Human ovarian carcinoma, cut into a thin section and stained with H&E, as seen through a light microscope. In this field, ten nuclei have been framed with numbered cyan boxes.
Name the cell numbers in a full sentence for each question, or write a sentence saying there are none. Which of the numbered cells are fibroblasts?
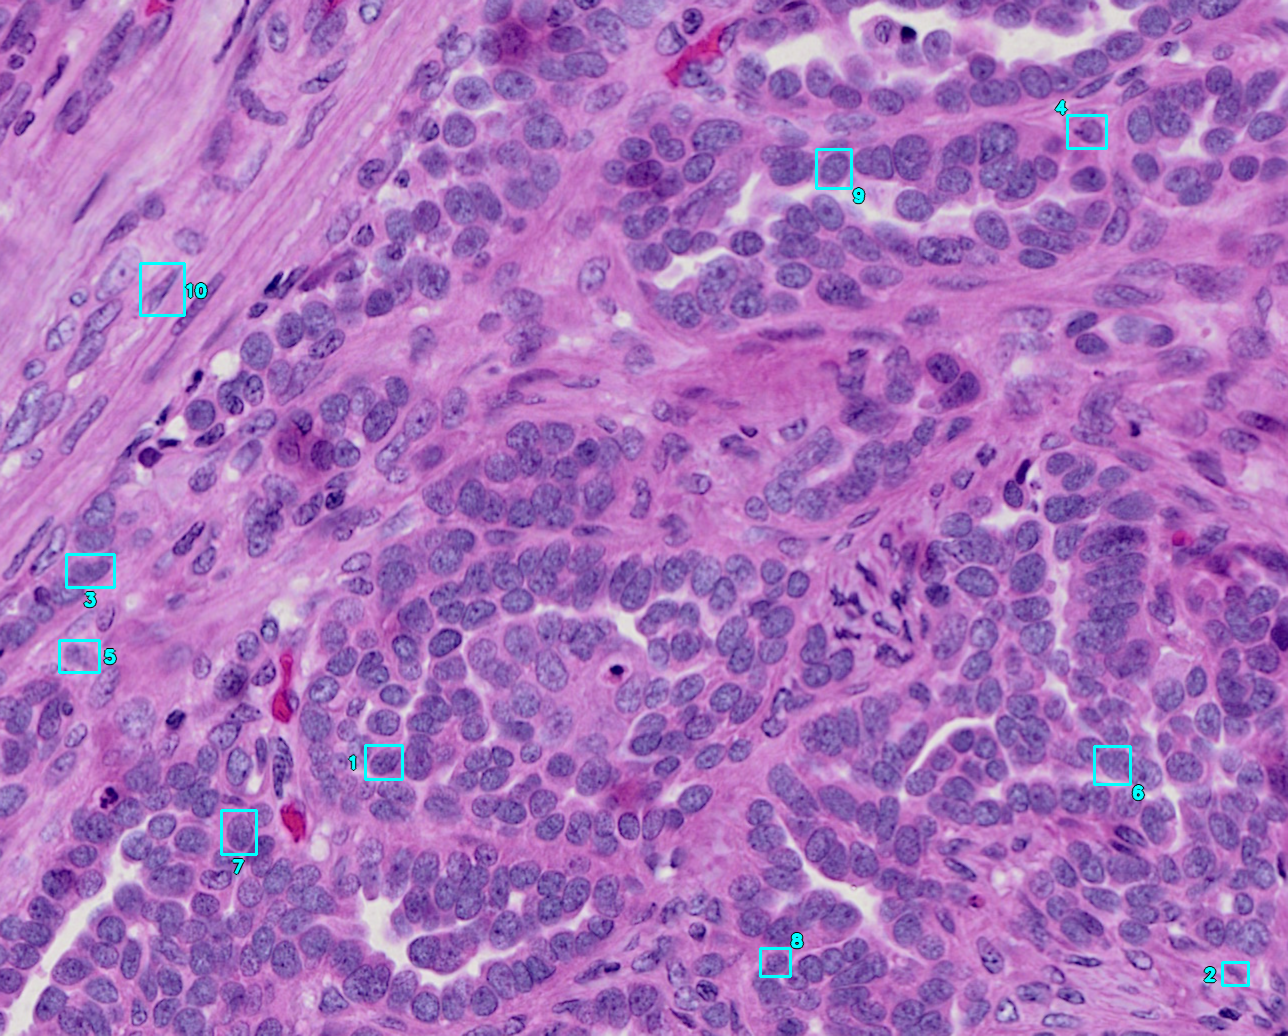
The cells labelled 2, 4, 5 and 10 in this section are fibroblasts.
